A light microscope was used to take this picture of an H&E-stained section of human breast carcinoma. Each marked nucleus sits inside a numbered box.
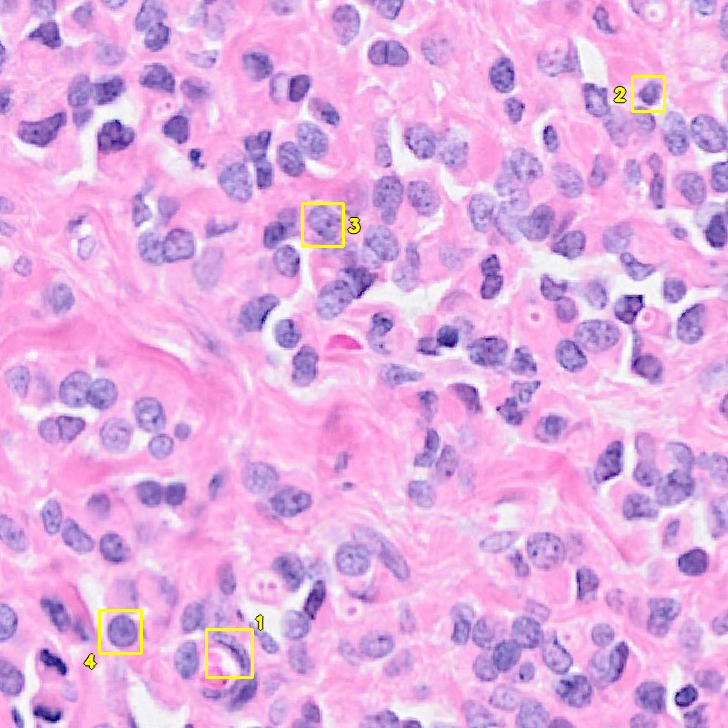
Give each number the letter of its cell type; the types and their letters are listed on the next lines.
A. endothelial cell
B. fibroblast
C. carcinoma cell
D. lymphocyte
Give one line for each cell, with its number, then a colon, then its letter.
1: A
2: D
3: C
4: C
